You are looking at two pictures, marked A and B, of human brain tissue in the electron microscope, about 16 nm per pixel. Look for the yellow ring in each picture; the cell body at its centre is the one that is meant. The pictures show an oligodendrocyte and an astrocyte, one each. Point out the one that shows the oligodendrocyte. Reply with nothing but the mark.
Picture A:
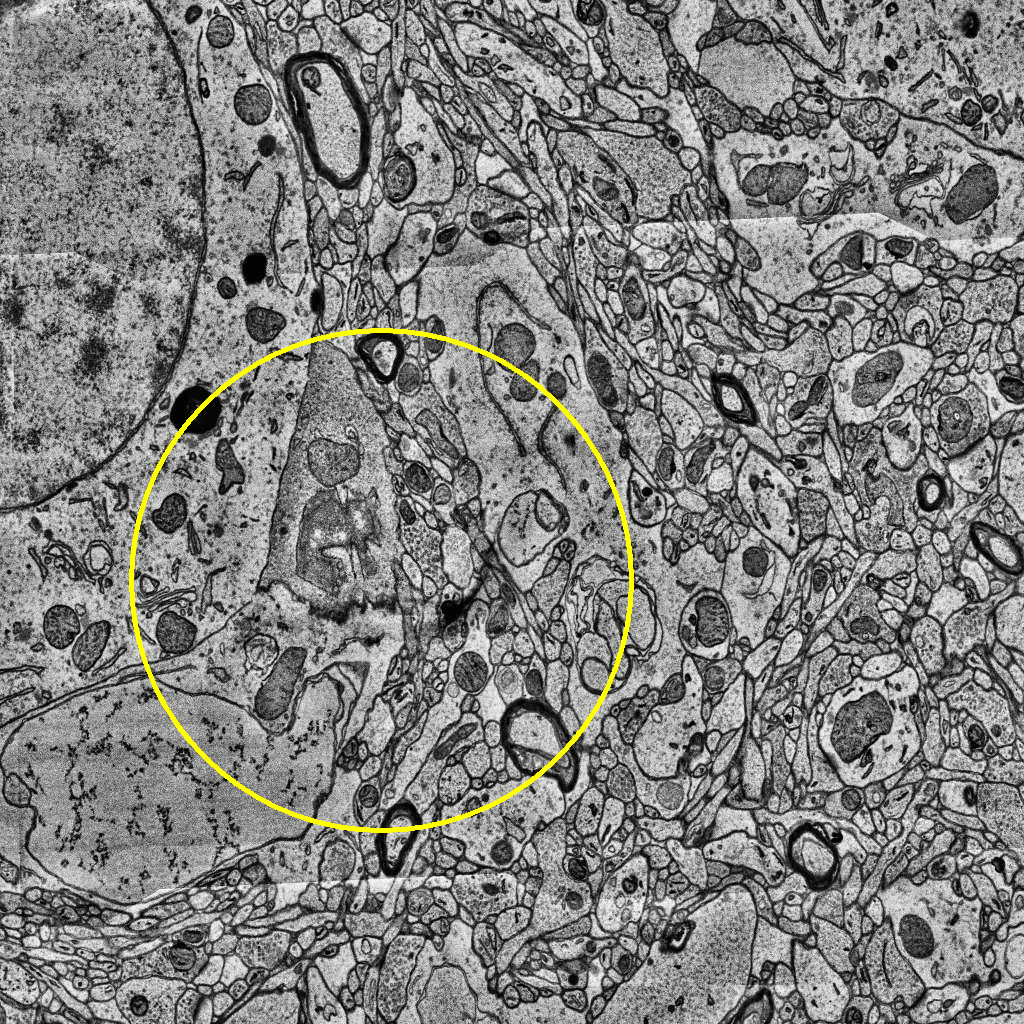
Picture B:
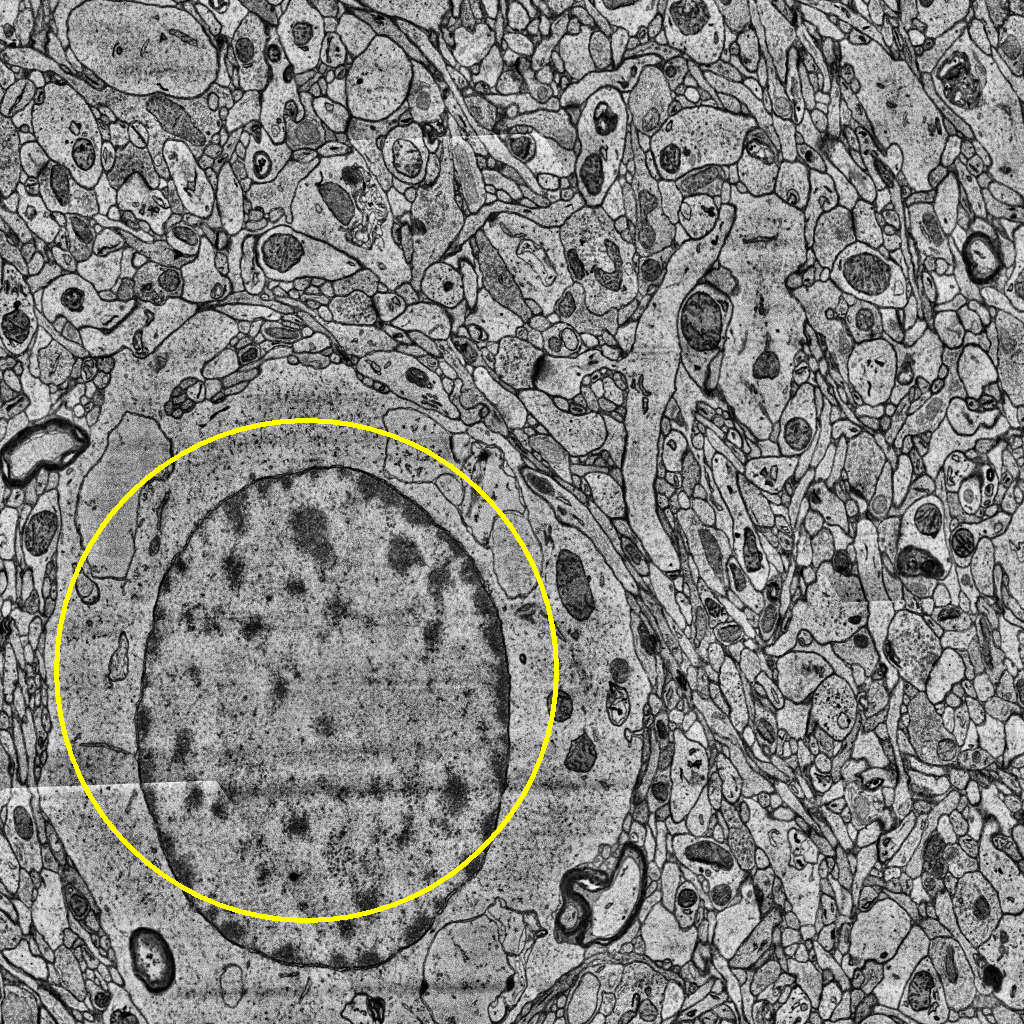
A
